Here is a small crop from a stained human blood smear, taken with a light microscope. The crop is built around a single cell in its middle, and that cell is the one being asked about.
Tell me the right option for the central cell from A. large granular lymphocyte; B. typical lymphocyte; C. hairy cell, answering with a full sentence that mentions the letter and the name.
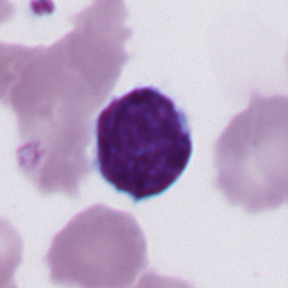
That cell in the center is a typical lymphocyte, hence option B.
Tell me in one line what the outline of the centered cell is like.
No projections interrupt the outline; it is smooth all the way round.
